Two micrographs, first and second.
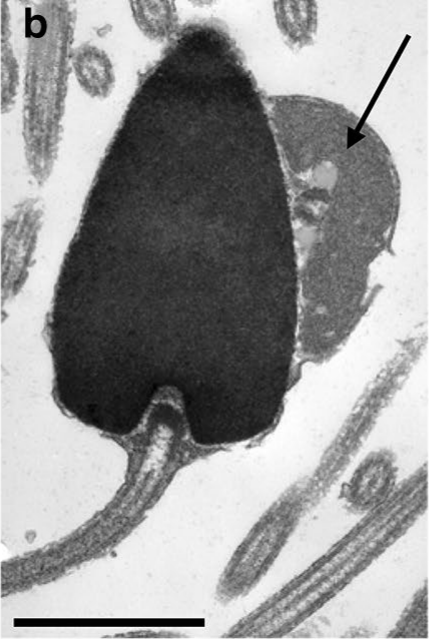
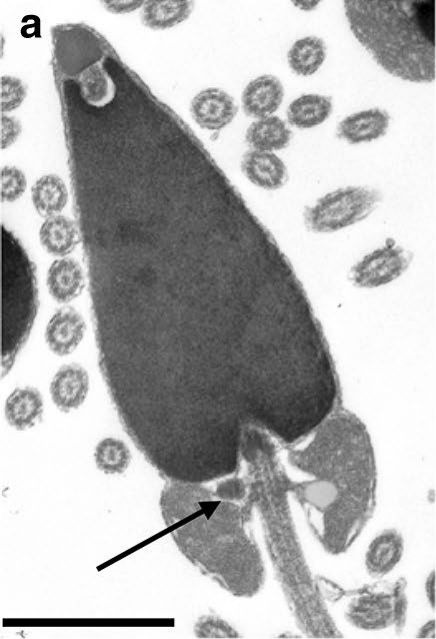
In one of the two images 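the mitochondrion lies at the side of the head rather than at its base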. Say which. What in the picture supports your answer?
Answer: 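First image: a large mitochondrion lies against the side of the dense head, away from the flagellum base. Second image: mitochondrial profiles sit at the base of the head on both sides of the flagellum.
The first image.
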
